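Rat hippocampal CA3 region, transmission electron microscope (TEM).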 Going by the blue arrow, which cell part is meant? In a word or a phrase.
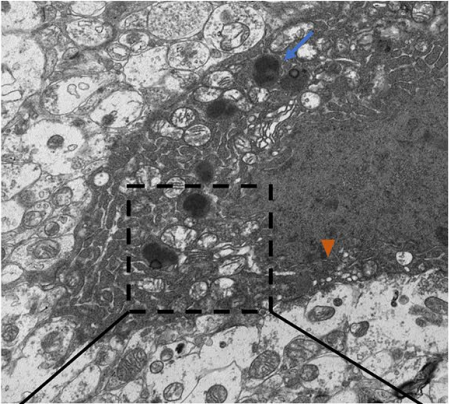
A: Lysosome.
